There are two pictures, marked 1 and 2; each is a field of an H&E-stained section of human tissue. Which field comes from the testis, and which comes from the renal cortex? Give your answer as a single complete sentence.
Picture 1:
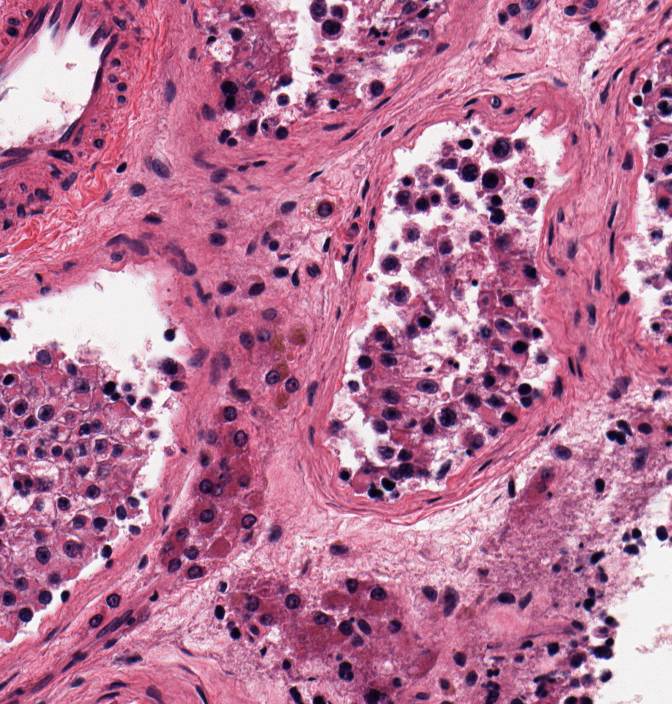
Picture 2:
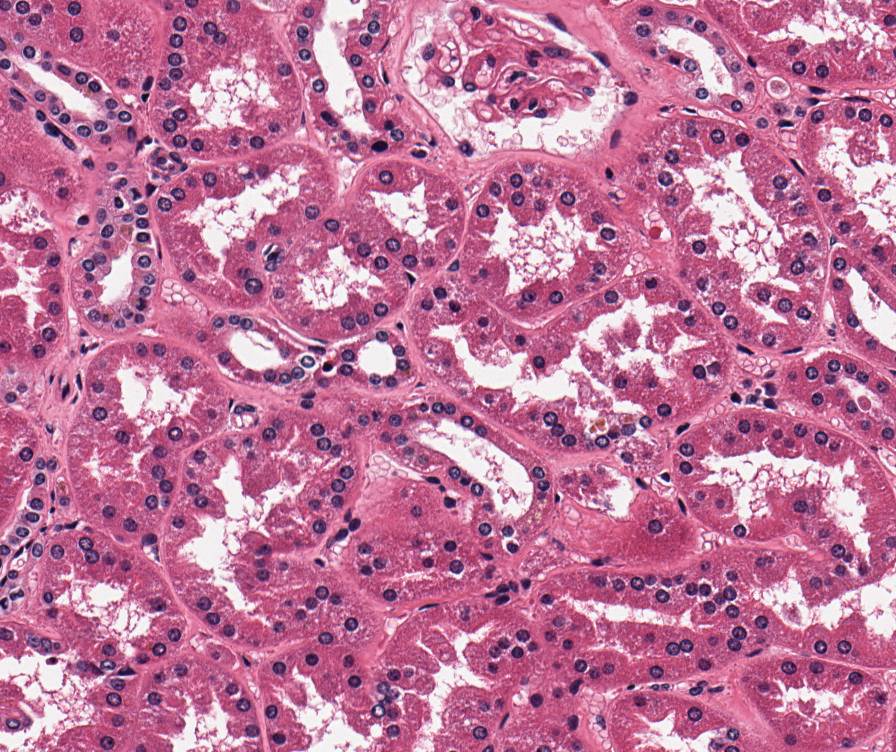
Picture 1 comes from the testis and picture 2 comes from the renal cortex.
